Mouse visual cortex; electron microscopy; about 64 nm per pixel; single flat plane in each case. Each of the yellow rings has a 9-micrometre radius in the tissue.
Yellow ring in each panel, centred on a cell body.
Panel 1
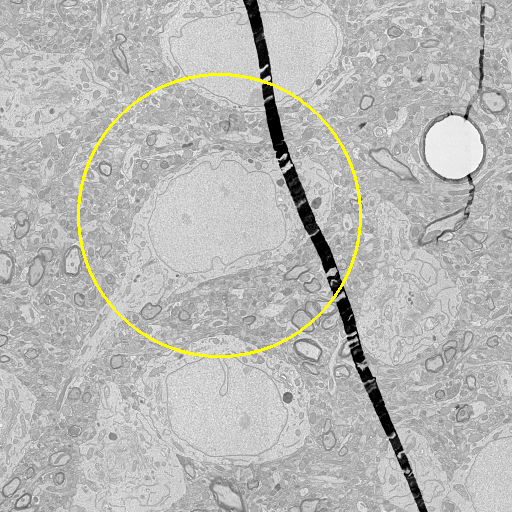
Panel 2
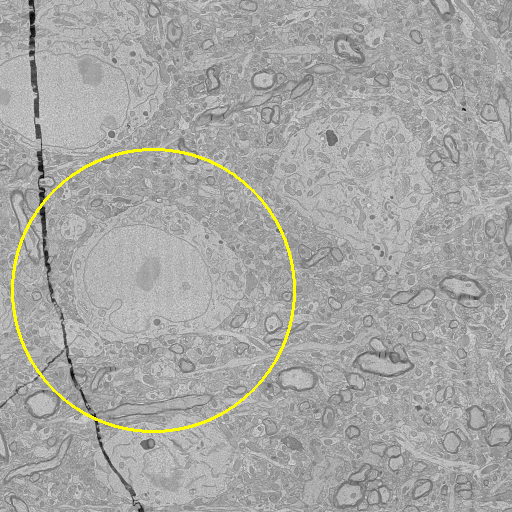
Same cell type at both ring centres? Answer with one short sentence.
Yes, both cells are of the same type.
